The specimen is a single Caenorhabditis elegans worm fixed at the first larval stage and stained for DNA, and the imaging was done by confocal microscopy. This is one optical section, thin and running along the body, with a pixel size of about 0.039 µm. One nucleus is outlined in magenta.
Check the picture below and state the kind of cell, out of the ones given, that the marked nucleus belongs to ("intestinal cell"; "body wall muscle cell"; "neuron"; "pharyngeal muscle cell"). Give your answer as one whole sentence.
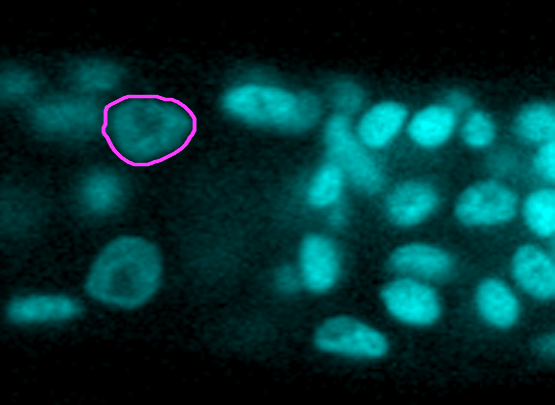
The marked cell is an intestinal cell.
